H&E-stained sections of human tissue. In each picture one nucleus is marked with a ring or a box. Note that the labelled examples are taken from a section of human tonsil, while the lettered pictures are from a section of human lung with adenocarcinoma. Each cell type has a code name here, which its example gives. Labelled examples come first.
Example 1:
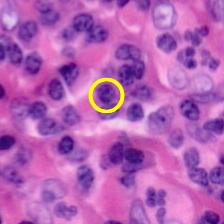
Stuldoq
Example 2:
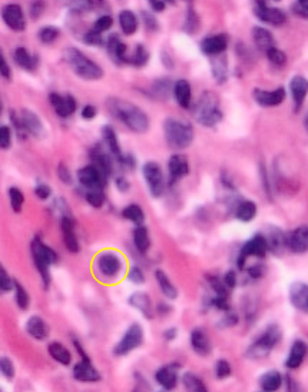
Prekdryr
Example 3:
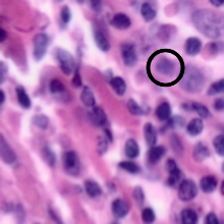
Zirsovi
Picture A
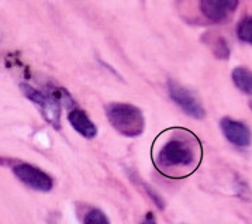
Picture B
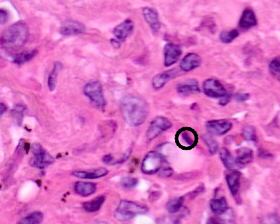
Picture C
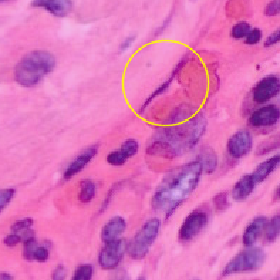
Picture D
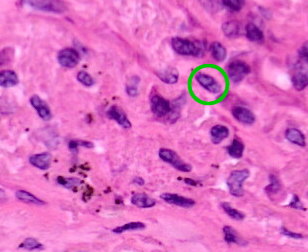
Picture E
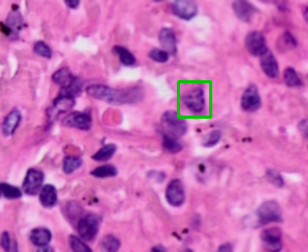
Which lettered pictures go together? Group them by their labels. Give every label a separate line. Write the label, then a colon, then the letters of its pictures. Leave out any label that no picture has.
Stuldoq: A, E
Prekdryr: D
Zirsovi: B, C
